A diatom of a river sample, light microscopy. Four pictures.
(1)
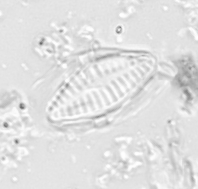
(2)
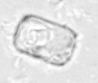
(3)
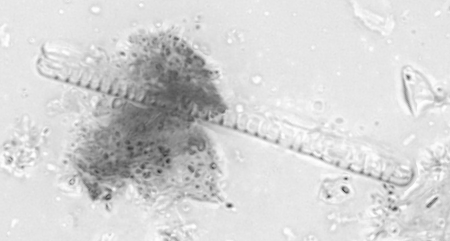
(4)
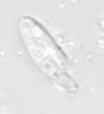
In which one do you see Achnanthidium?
In picture 4.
